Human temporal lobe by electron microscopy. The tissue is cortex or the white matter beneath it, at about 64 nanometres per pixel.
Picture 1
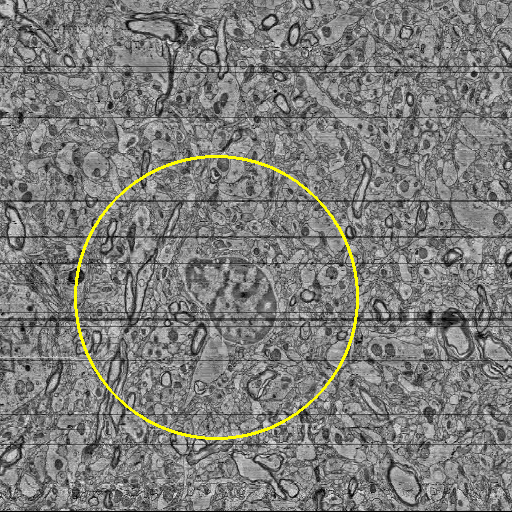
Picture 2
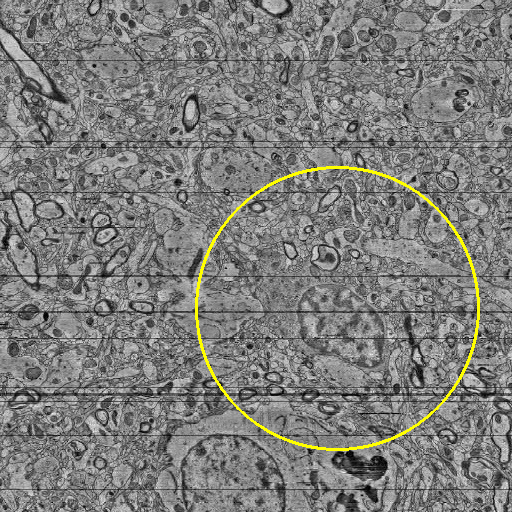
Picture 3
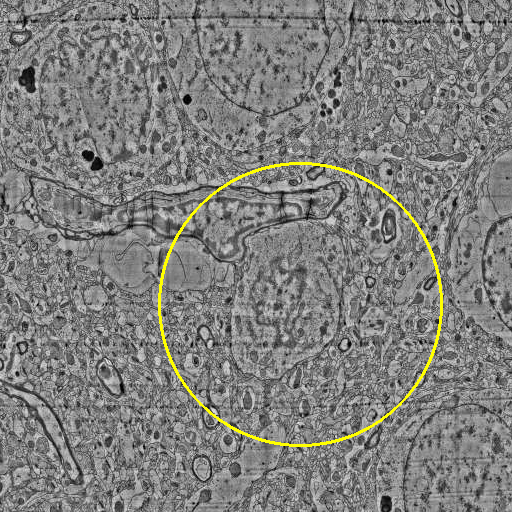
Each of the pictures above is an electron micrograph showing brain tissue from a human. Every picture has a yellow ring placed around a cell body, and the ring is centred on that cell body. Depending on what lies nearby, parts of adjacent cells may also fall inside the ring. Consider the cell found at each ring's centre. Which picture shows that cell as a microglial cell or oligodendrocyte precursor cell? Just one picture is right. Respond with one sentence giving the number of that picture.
The picture showing the wanted cell at the ring's centre is number 1.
